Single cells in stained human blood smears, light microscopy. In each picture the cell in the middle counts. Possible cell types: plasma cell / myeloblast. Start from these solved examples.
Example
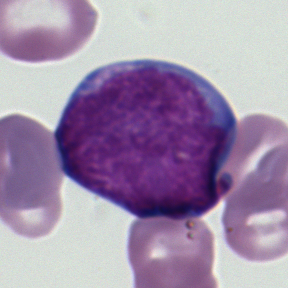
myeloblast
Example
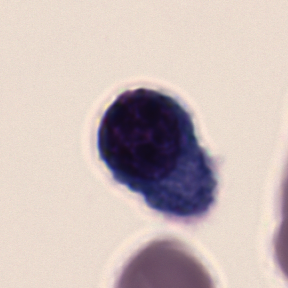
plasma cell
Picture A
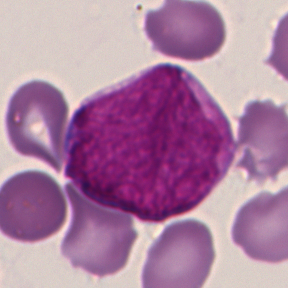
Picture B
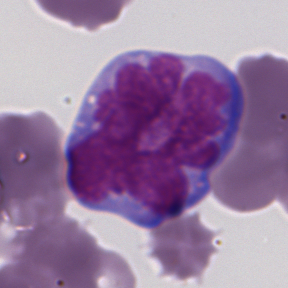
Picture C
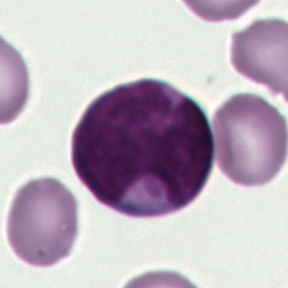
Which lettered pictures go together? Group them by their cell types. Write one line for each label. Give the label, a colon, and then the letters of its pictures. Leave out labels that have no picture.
myeloblast: A, B, C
